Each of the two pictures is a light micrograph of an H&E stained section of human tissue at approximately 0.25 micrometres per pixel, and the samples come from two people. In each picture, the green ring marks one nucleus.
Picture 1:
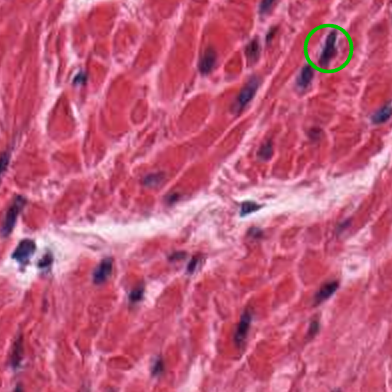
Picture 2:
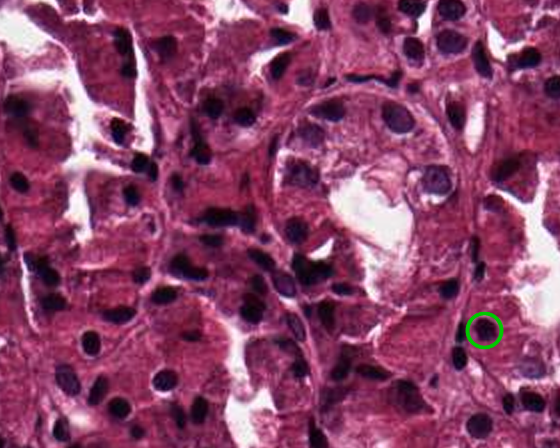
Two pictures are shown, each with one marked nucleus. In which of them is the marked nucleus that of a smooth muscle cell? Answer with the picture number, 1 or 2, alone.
1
